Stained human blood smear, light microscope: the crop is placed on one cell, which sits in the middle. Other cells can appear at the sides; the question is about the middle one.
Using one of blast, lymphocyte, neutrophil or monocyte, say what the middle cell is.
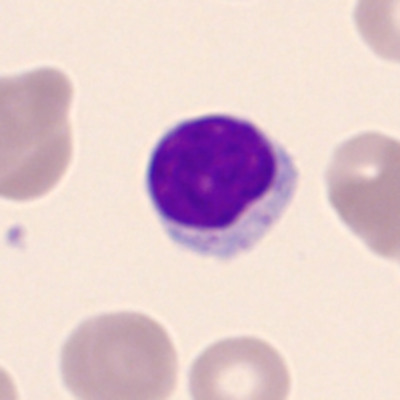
lymphocyte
